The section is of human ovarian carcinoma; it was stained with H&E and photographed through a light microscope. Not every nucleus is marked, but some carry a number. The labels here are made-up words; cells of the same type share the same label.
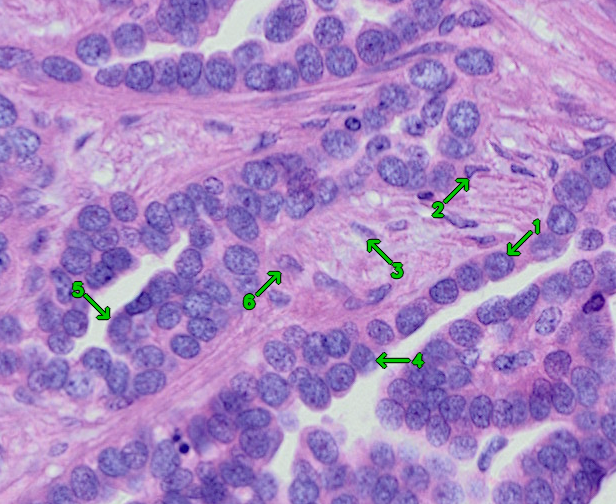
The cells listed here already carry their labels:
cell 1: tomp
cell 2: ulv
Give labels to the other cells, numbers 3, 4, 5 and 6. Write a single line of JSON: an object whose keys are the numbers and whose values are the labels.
{"3": "ulv", "4": "tomp", "5": "tomp", "6": "ulv"}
